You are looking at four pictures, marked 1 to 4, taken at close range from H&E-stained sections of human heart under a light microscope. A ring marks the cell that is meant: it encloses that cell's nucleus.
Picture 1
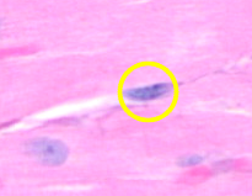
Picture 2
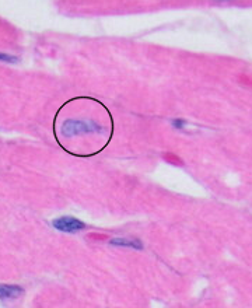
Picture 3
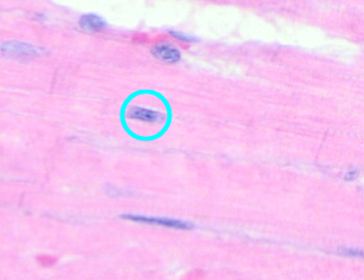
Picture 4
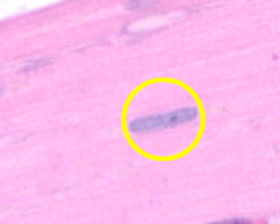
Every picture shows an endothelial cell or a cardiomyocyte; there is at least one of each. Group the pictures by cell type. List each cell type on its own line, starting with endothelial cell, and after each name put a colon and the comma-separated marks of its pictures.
endothelial cell: 1, 3
cardiomyocyte: 2, 4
